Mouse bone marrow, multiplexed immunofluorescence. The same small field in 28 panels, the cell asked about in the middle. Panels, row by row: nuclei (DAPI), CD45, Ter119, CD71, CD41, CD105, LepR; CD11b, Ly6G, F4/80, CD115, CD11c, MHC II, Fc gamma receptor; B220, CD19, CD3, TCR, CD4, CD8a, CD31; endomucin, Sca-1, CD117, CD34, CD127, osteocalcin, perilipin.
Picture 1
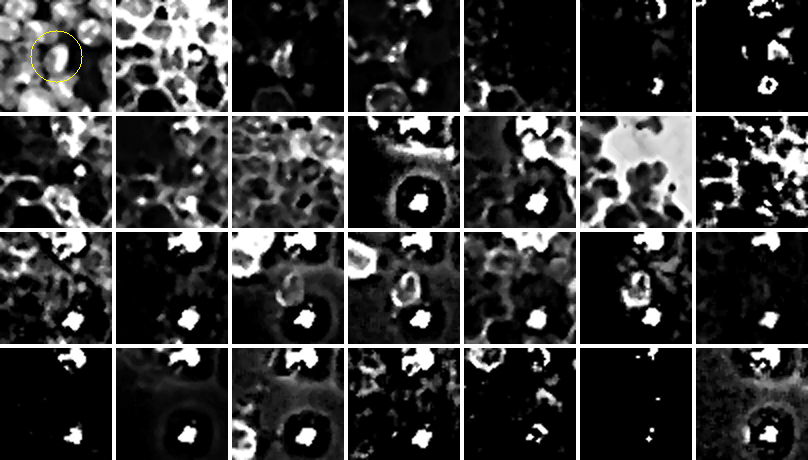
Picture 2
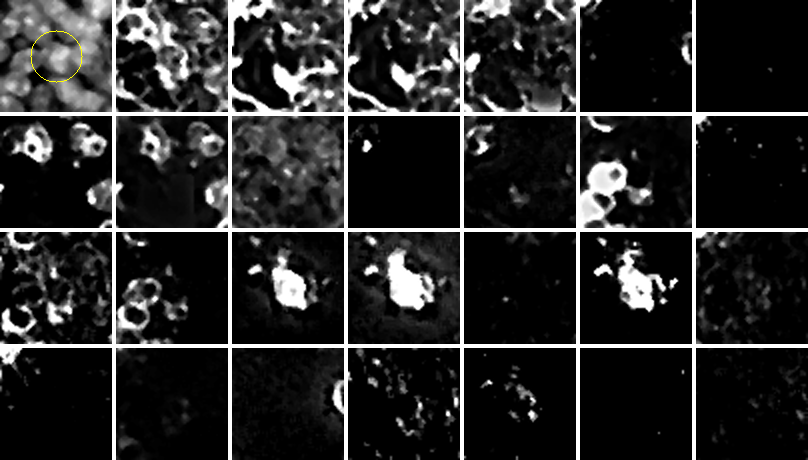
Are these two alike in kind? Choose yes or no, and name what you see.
Yes. CD8 T cells.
